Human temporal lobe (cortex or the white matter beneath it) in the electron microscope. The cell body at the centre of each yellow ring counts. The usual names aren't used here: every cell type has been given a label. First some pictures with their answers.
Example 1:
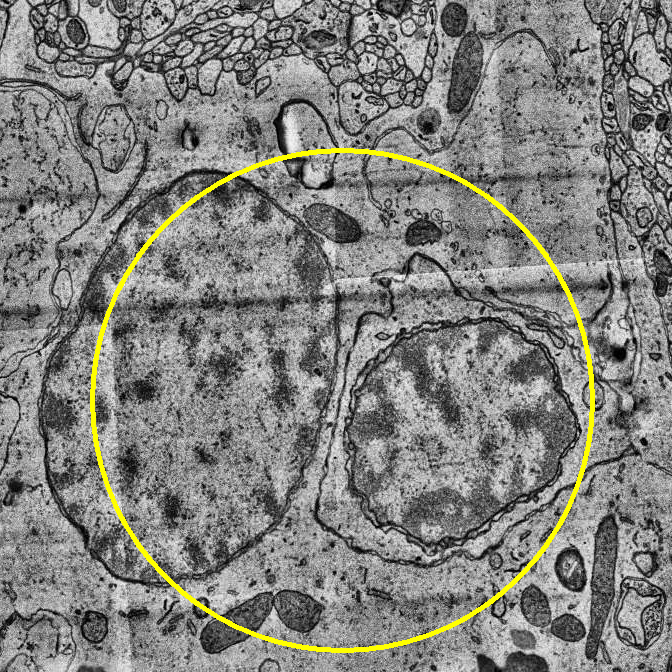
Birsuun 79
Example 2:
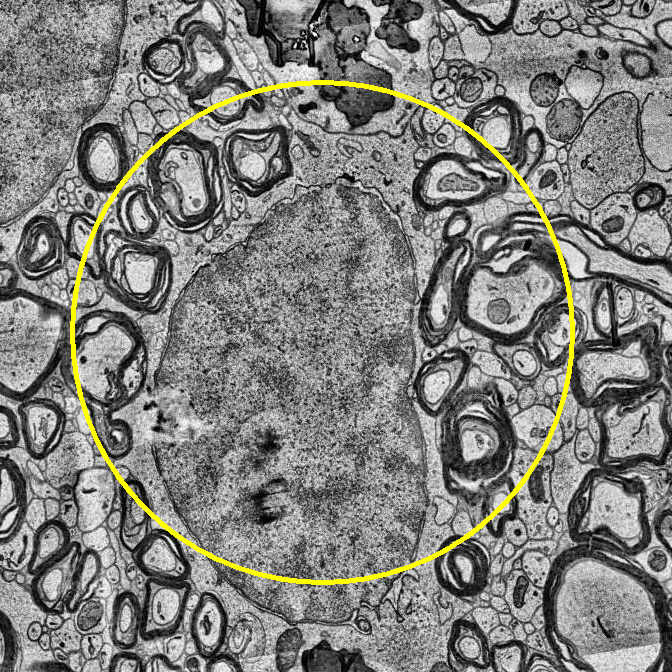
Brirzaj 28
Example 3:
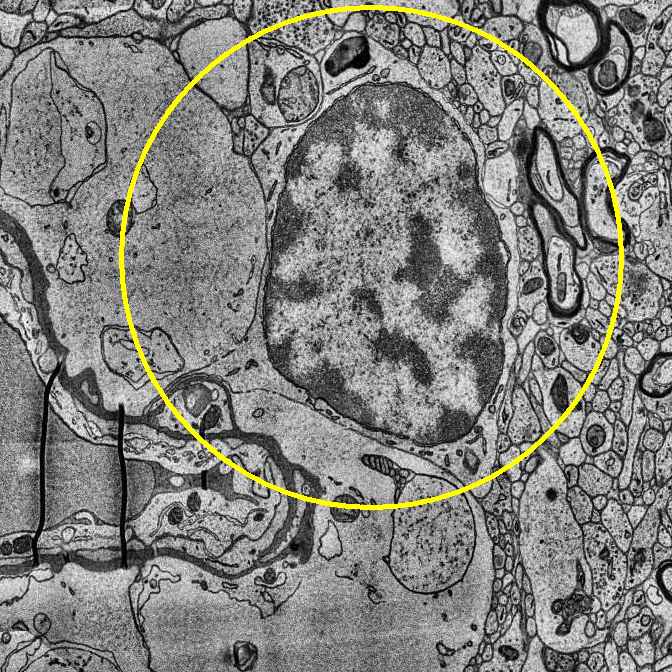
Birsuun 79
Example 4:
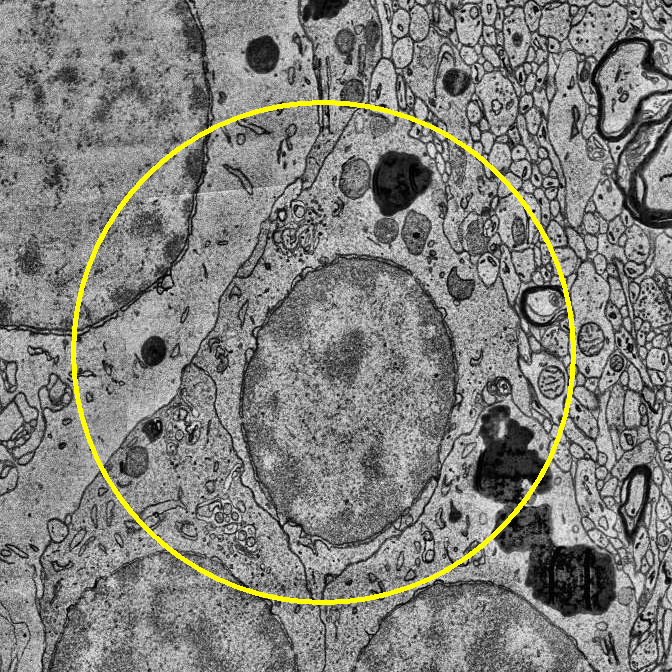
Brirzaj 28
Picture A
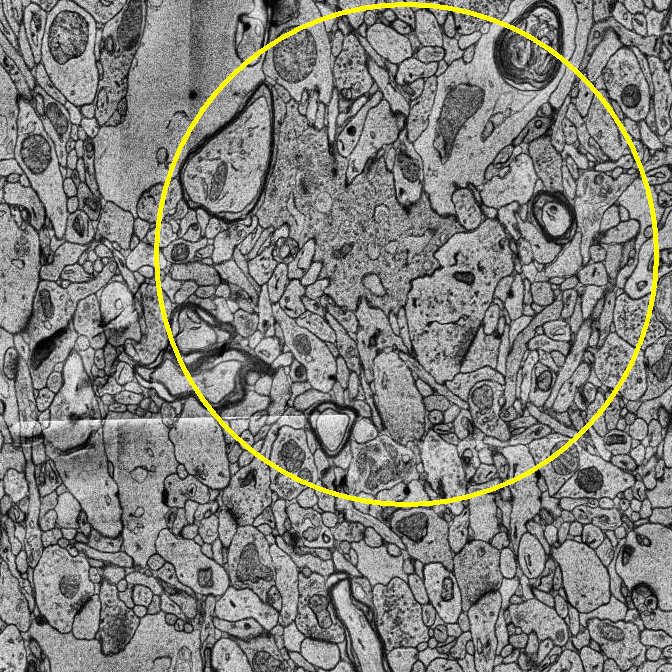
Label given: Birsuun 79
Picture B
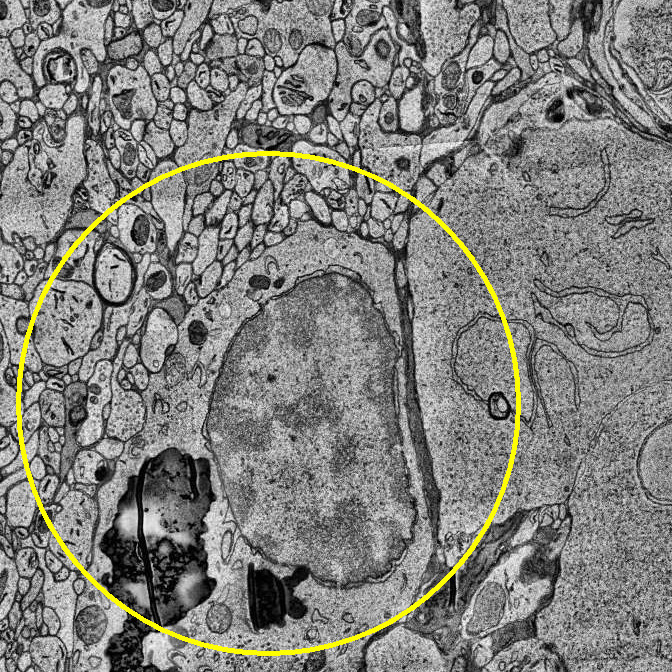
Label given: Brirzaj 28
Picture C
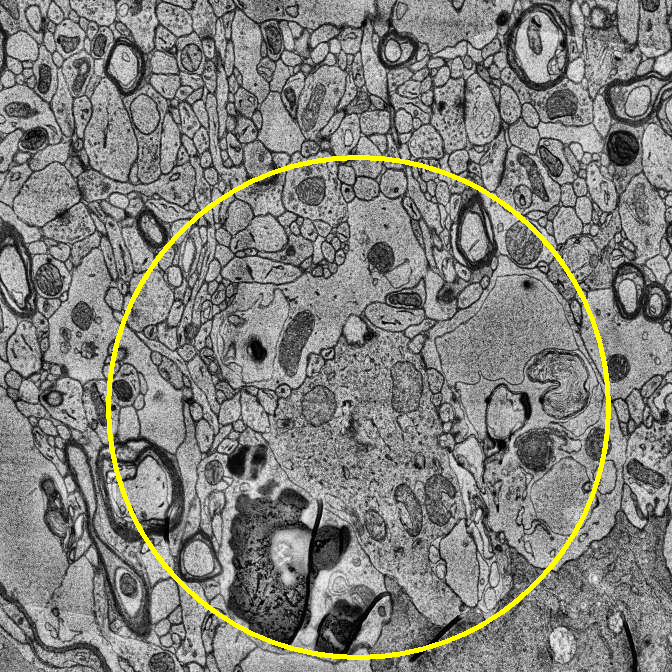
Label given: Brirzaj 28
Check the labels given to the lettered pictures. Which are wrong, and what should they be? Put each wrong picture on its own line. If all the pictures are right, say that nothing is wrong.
A: not Birsuun 79 but Brirzaj 28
